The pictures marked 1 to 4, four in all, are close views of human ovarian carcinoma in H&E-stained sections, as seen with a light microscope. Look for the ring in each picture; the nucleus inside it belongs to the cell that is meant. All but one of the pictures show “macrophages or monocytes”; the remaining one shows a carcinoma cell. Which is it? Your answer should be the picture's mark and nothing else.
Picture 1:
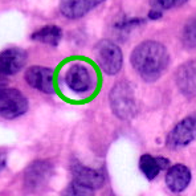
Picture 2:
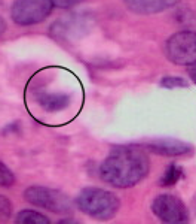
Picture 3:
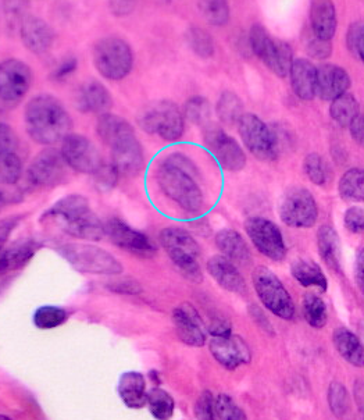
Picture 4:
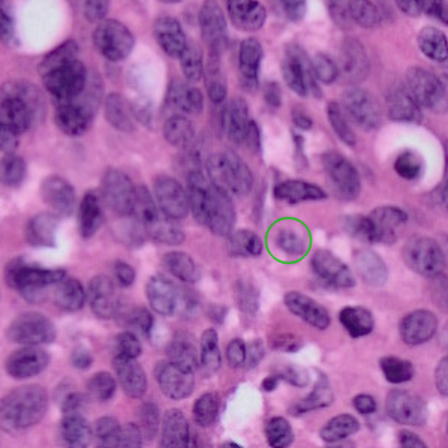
3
